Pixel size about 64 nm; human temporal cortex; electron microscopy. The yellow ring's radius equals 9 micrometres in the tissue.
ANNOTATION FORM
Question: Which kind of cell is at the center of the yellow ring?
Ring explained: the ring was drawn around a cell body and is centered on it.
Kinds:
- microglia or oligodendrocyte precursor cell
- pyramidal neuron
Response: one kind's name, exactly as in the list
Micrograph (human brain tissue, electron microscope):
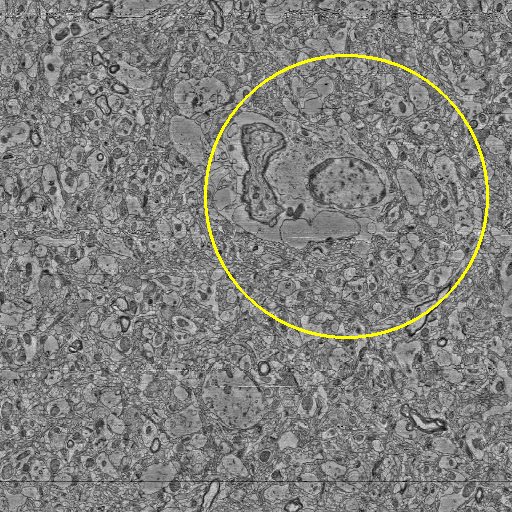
microglia or oligodendrocyte precursor cell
